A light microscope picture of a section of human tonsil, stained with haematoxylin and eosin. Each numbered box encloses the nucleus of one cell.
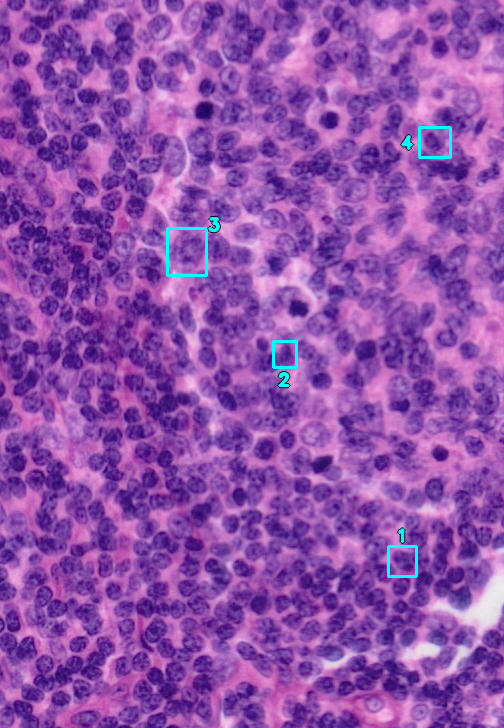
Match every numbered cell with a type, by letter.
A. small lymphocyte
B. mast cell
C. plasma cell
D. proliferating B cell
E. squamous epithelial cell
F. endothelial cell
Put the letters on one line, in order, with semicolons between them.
A; D; D; D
